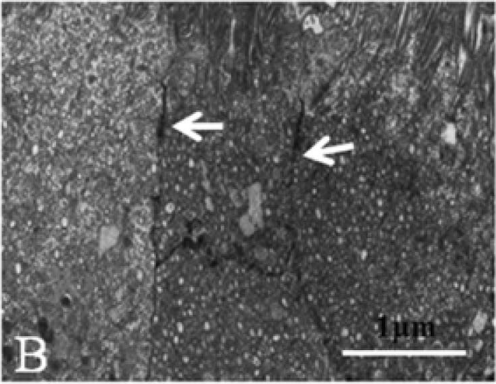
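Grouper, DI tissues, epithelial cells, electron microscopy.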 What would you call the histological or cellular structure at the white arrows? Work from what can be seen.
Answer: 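Intercellular junctions. Dark lines running between adjacent cells just below the apical region. Two neighbouring cells meet along the marked lines.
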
